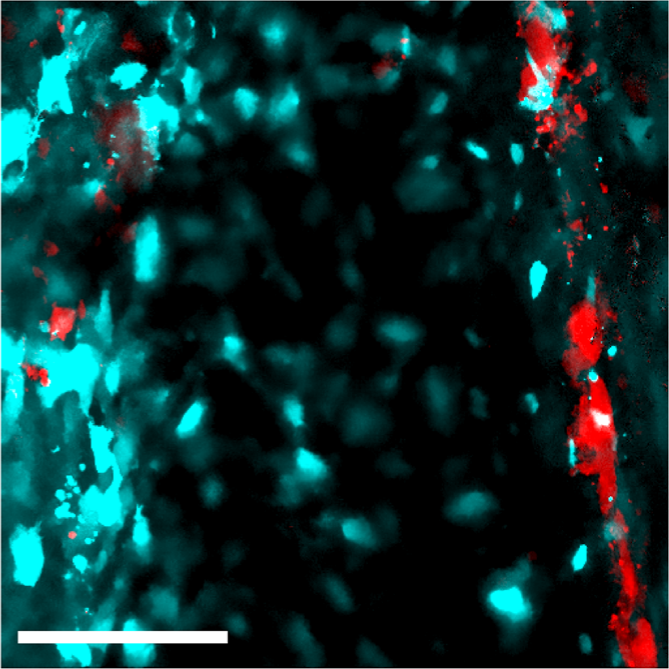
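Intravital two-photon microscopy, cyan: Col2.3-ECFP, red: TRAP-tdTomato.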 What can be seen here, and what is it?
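Larger red osteoclasts, elongated and irregular in outline, lie in a band along the right side, with smaller red fragments close by. The central region between the cyan cells is dark.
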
